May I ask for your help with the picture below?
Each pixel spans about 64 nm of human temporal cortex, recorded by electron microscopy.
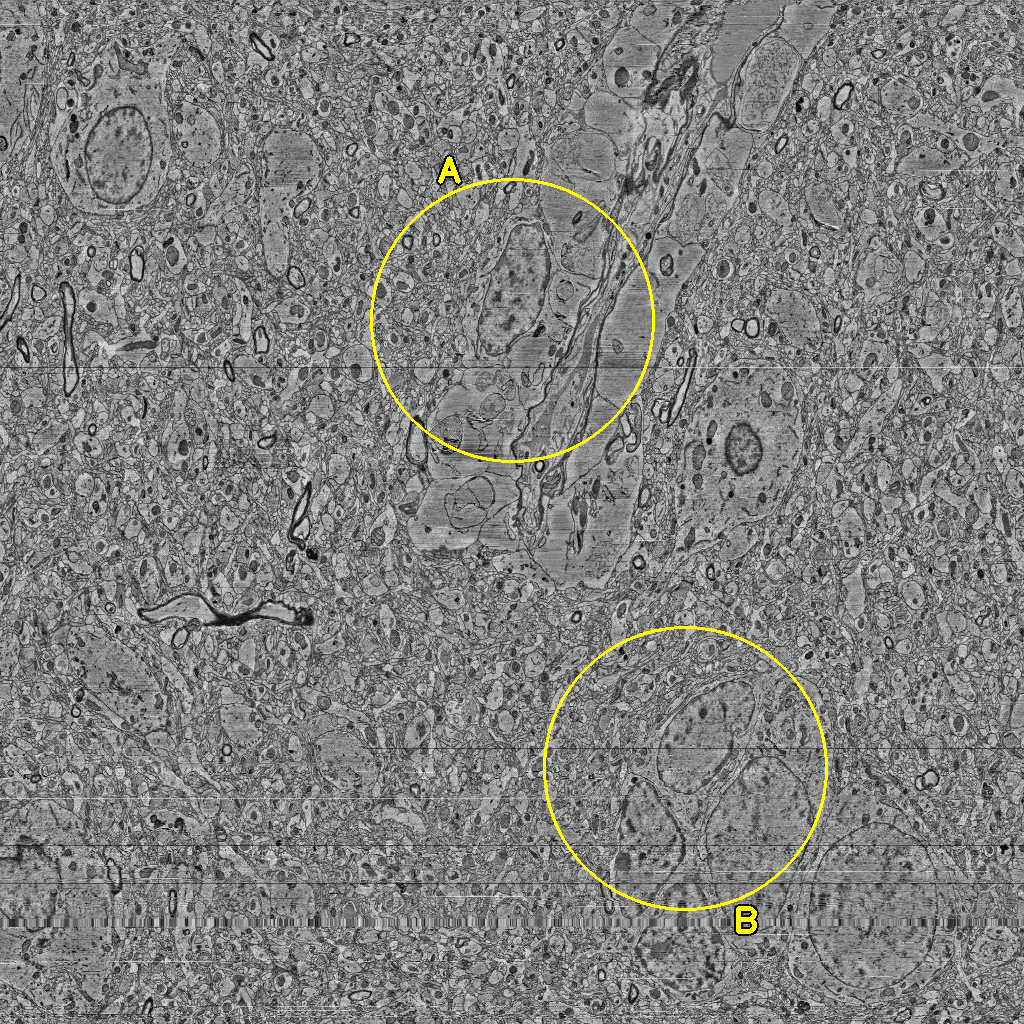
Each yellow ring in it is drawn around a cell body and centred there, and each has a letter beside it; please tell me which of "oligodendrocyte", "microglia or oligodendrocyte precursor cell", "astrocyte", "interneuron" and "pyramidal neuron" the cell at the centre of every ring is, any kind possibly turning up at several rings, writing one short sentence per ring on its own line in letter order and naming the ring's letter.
Ring A is drawn around the cell body of a microglial cell or oligodendrocyte precursor cell.
Ring B is drawn around the cell body of a microglial cell or oligodendrocyte precursor cell.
